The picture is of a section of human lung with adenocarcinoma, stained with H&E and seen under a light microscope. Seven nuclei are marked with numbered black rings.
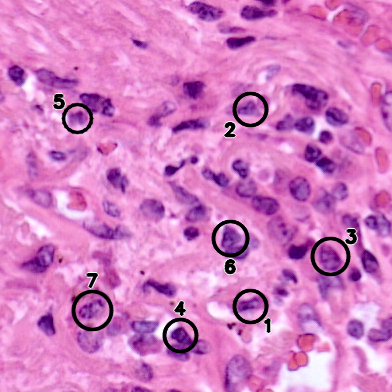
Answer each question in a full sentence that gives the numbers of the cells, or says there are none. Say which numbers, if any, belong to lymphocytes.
The numbers 4, 5 and 6 mark cells that are lymphocytes.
